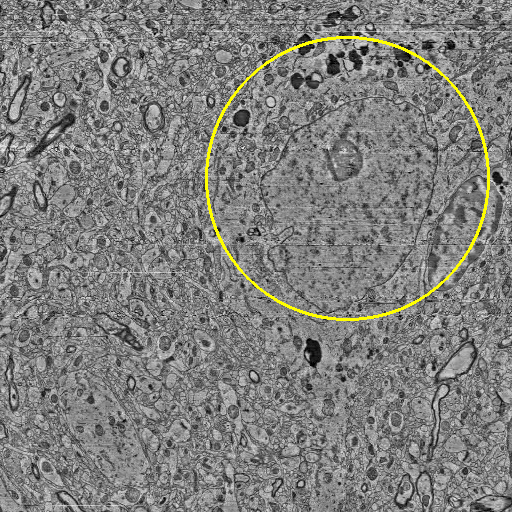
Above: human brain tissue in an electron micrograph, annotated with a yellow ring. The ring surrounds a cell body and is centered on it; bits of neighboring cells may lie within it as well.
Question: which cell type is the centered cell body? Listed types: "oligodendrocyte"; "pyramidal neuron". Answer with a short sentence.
The centered cell body is a pyramidal neuron.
